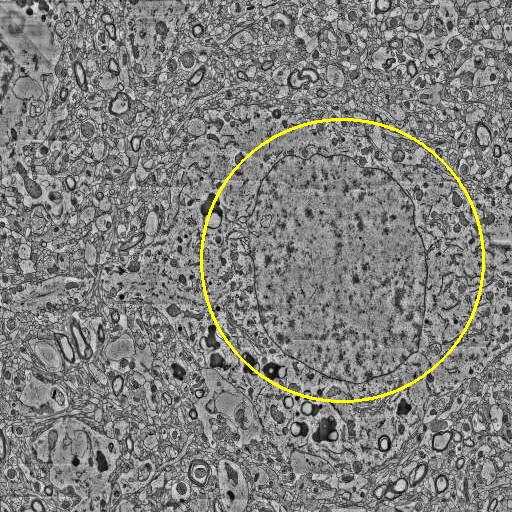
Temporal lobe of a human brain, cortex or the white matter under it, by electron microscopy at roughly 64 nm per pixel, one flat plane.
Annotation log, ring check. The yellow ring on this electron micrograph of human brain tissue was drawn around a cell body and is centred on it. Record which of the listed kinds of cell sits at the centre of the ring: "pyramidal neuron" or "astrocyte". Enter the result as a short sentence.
The cell at the centre of the ring is a pyramidal neuron.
